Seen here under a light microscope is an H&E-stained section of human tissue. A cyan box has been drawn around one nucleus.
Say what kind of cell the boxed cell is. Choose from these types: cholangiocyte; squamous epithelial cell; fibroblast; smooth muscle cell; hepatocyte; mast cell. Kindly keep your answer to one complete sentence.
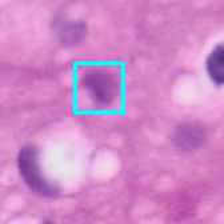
Recorded by type, the boxed cell is a squamous epithelial cell.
